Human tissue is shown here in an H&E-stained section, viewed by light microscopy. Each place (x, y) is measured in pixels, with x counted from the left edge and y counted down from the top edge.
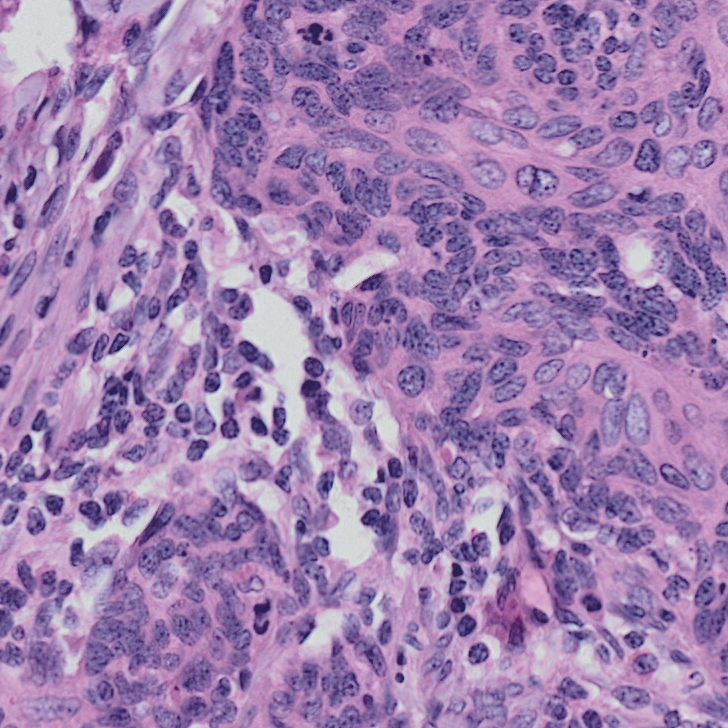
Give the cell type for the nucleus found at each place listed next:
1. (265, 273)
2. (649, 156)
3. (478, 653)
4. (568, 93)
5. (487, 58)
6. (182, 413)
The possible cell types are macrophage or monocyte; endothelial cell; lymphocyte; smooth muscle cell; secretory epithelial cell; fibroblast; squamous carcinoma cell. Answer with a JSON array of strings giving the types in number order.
["lymphocyte", "squamous carcinoma cell", "lymphocyte", "squamous carcinoma cell", "squamous carcinoma cell", "lymphocyte"]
